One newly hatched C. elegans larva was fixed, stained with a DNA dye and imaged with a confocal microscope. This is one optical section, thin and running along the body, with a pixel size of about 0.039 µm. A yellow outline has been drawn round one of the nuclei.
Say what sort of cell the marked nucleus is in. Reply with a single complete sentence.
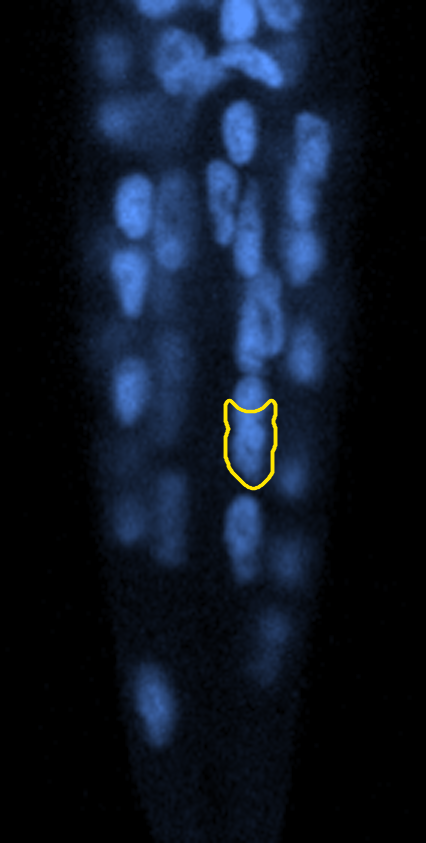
This nucleus is from a pharyngeal muscle cell.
